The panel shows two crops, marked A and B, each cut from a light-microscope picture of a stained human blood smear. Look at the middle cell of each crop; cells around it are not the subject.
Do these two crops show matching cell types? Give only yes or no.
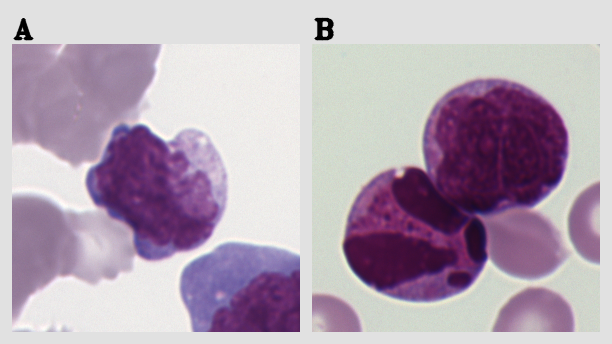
yes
